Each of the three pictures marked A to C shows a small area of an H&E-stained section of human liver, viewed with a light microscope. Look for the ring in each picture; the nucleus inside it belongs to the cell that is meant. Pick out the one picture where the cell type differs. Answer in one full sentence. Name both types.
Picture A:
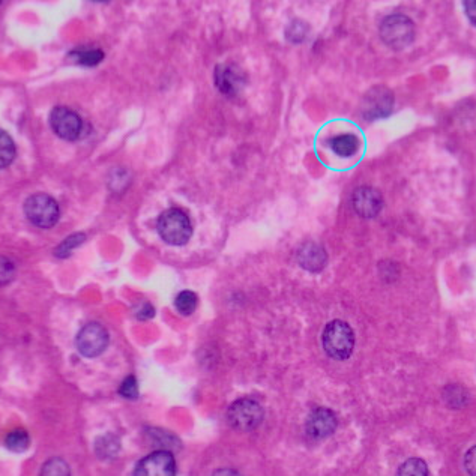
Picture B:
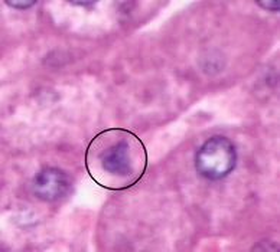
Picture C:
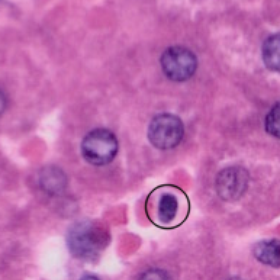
Picture B is the odd one out: it shows an endothelial cell, while the others show lymphocytes.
